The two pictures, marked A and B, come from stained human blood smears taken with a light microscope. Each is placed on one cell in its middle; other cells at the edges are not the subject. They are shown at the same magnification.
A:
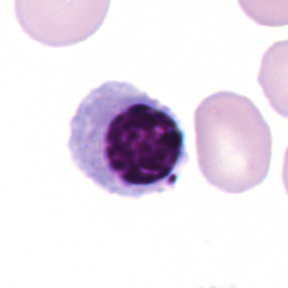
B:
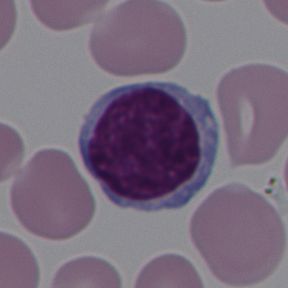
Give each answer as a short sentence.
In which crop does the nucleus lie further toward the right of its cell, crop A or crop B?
Seen within its cell, the nucleus in crop A lies further toward the right.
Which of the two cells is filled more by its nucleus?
The nucleus fills more of the cell in crop B than in crop A.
